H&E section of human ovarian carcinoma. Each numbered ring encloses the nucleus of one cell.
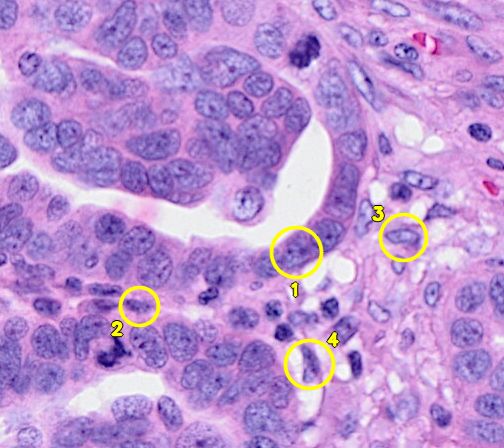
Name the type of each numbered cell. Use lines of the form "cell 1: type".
cell 1: carcinoma cell
cell 2: macrophage or monocyte
cell 3: fibroblast
cell 4: macrophage or monocyte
